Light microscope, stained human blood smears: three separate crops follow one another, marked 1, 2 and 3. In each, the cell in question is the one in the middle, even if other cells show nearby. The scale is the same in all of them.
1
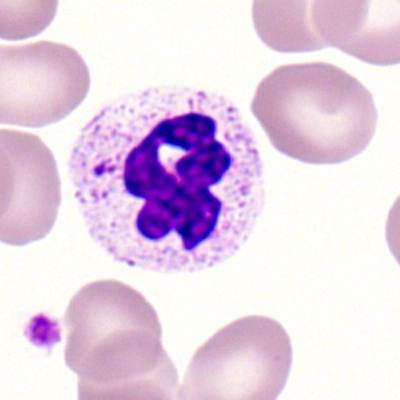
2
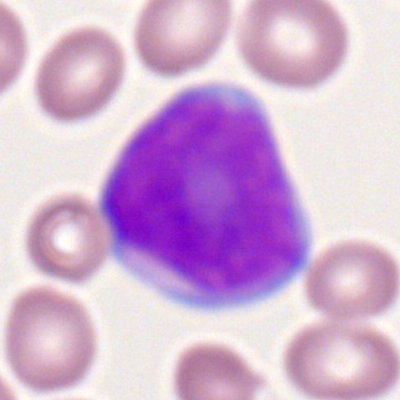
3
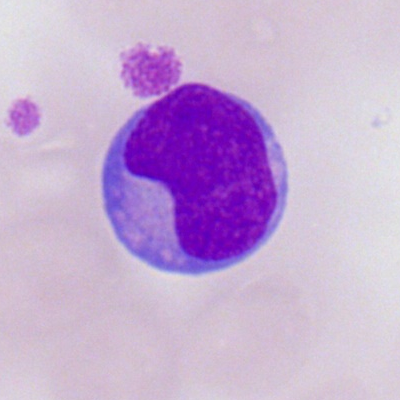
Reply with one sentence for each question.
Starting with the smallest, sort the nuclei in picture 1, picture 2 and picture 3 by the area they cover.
Smallest first: 1, 3, 2.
